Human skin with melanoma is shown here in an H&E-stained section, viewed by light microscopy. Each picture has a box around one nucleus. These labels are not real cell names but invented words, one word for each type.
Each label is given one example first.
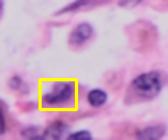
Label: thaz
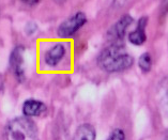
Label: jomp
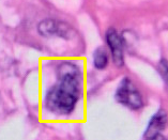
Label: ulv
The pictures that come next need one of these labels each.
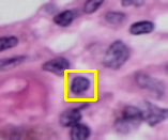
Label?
jomp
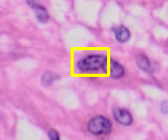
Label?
thaz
